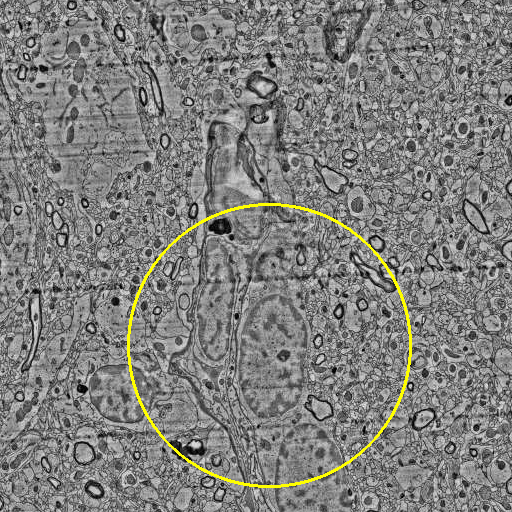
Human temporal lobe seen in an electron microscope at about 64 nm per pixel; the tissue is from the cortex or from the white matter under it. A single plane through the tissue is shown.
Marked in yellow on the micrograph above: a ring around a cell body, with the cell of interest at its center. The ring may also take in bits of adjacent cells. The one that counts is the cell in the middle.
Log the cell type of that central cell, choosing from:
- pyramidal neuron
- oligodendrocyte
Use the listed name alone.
oligodendrocyte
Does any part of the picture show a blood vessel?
Yes, one is visible.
